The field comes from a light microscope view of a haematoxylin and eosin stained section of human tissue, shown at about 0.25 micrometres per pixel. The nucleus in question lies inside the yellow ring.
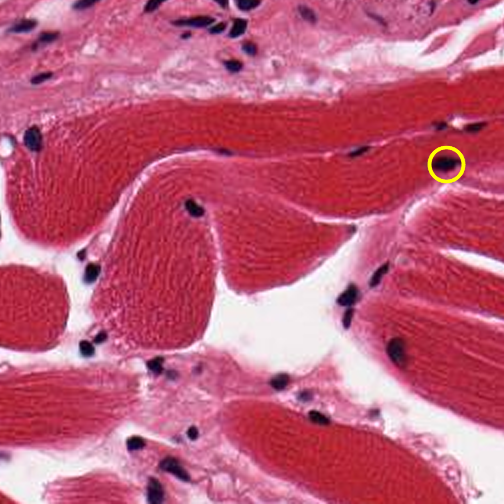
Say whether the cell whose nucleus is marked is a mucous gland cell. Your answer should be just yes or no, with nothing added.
no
